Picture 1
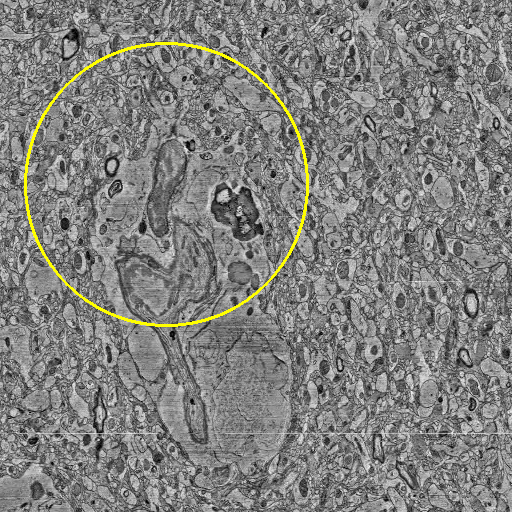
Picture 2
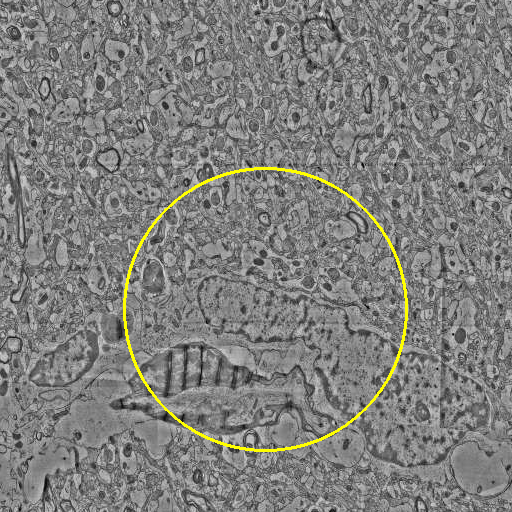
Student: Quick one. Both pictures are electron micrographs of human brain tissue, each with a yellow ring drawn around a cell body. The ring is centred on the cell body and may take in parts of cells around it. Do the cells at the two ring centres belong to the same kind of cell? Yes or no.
yes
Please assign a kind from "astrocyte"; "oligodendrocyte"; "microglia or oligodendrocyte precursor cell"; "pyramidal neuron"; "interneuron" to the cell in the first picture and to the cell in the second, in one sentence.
Both rings mark a microglial cell or oligodendrocyte precursor cell, one in each picture.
